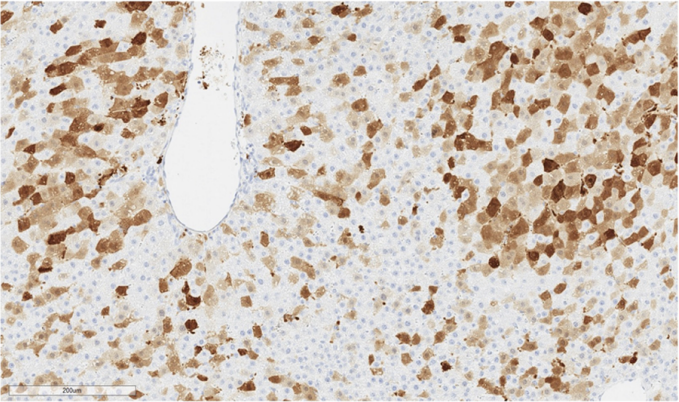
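A central vessel lies among plates of large polygonal liver cells with round central nuclei, many of whose cytoplasm is filled with brown stain of varying intensity while others stay pale. The stained cells form patches and clusters intermixed with unstained ones, so these are hepatocytes, many of them strongly stained.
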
